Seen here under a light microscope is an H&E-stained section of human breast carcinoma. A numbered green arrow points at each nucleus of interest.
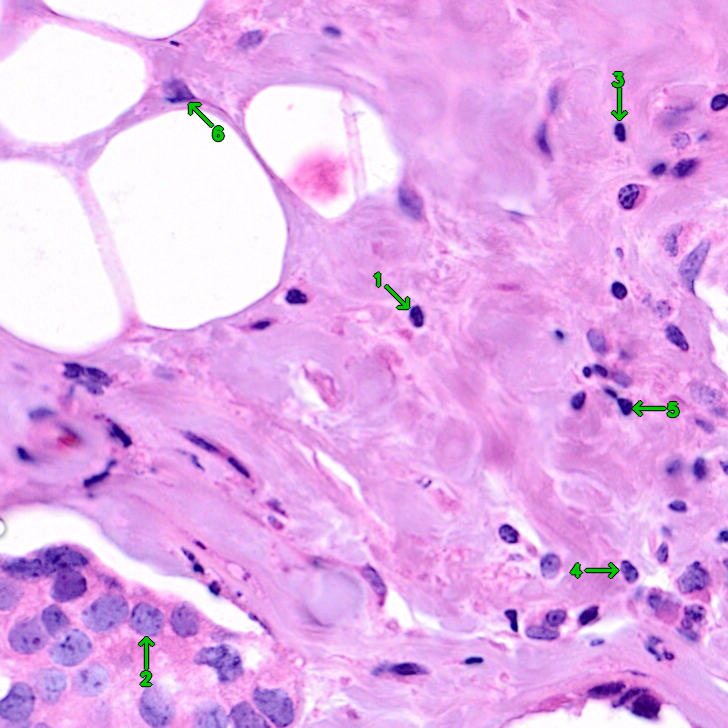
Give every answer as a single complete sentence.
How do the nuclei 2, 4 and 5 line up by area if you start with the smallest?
By area, going up from the smallest, they rank 5, 4, 2.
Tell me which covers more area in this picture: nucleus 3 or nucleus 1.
It is nucleus 1, which covers about 1.5 times the area of nucleus 3.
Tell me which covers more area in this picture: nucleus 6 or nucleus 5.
Number 6 is larger; its area is about 3 times that of number 5.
